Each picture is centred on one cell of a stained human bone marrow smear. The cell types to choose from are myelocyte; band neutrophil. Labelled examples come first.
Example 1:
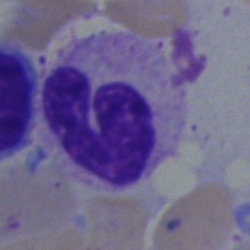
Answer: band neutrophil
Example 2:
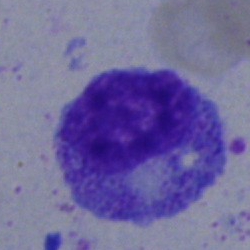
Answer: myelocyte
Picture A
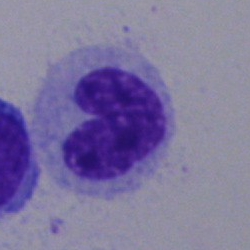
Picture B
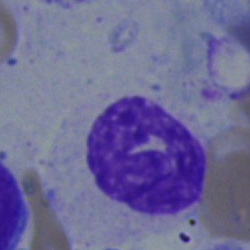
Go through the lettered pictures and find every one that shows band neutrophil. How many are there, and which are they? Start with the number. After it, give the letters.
2, namely A, B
